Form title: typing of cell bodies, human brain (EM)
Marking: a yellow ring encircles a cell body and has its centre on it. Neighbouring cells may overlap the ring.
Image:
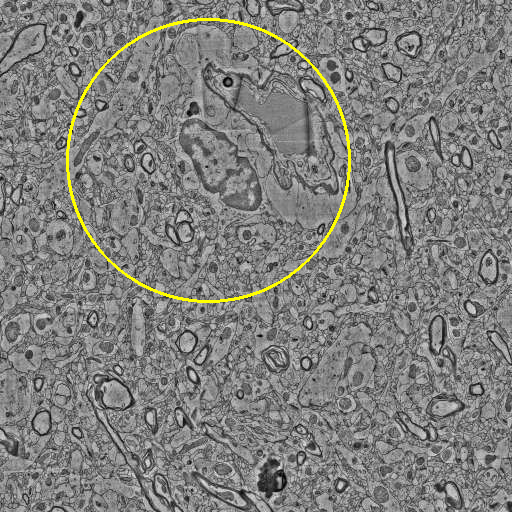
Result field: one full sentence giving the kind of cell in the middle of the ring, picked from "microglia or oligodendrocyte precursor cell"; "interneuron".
In the picture, the ring is centred on a microglial cell or oligodendrocyte precursor cell, whose cell body it encircles.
